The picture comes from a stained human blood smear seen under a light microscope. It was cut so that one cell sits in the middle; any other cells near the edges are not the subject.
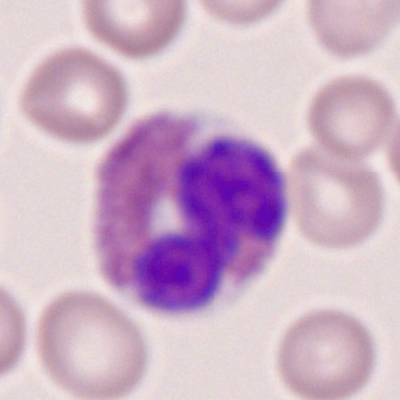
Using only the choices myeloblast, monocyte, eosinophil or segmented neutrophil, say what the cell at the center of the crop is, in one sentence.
In this crop, the cell at the very middle is an eosinophil.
